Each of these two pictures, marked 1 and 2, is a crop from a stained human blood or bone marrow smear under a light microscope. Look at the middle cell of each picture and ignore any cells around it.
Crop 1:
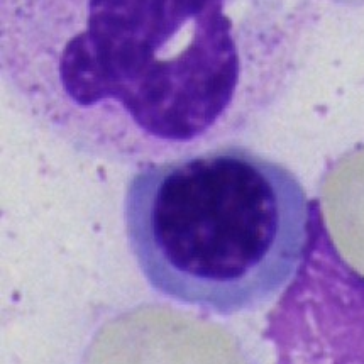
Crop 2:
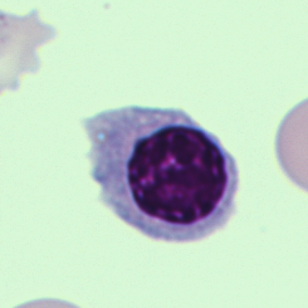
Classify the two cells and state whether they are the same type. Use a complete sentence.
Yes, the two crops share the same answer, normoblasts.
